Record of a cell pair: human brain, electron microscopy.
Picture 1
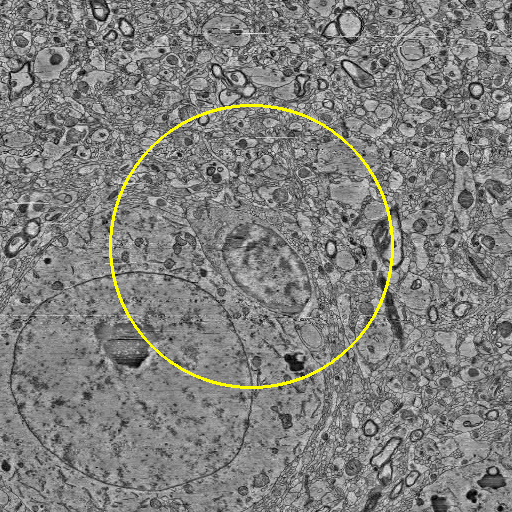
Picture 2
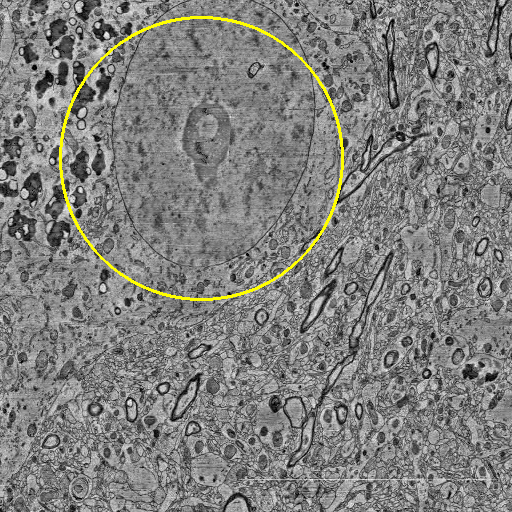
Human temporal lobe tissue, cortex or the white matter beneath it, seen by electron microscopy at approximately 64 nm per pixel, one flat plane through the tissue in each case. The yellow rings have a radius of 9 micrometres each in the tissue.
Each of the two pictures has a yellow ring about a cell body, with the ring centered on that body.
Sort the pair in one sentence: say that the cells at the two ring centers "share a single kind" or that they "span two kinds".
The cells centered in the rings of Pictures 1 and 2 span two kinds.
